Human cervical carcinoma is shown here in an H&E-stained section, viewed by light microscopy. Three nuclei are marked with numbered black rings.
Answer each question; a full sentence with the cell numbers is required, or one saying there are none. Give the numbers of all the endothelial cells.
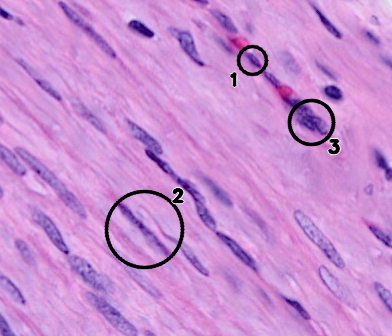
Cells 1 and 3 are of one type, namely endothelial cells.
